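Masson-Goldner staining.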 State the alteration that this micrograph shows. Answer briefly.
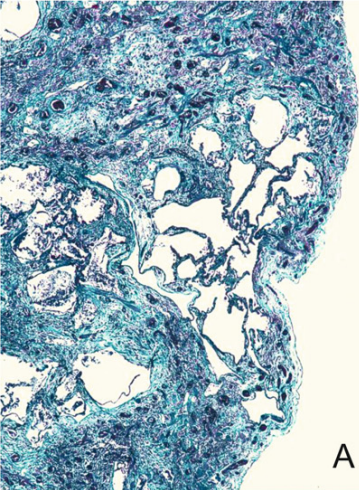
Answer: Mature scars.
